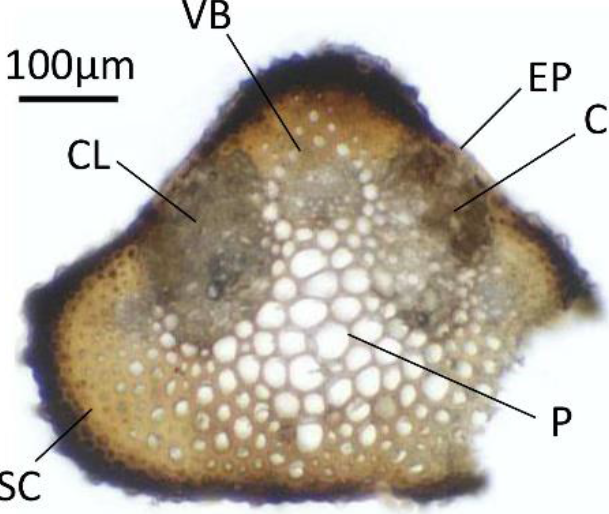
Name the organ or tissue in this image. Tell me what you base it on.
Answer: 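The cross-section is small and roughly triangular. A dark rim of thick-walled cells runs around the outer edge. Large pale thin-walled cells fill the centre. So: Awn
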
